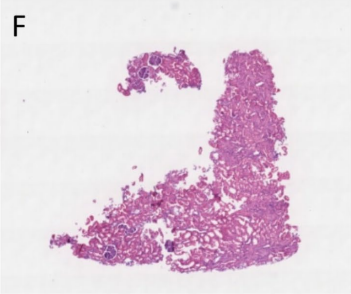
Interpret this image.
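This low-power view shows a fragmented piece of kidney tissue made up mostly of closely packed tubules, with a few glomeruli. The tubules form a fine pink meshwork of small profiles with pale lumens and narrow gaps between them. A small separate piece lies above it on the left. A few round, purple glomerular tufts can be picked out, including some in the small upper fragment and some near the lower edge of the main piece. The edges of the tissue are ragged and partly torn apart.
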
